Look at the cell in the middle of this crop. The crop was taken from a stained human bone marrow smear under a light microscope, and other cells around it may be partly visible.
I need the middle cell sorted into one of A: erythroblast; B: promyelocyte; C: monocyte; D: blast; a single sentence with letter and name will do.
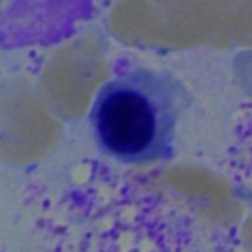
Option A is correct; the cell in the middle is an erythroblast.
